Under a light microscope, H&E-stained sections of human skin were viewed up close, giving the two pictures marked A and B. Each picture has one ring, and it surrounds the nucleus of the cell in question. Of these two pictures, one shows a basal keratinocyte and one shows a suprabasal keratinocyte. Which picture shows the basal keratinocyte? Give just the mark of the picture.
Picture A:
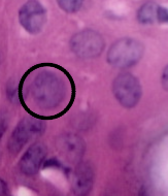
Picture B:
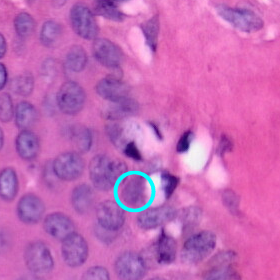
B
